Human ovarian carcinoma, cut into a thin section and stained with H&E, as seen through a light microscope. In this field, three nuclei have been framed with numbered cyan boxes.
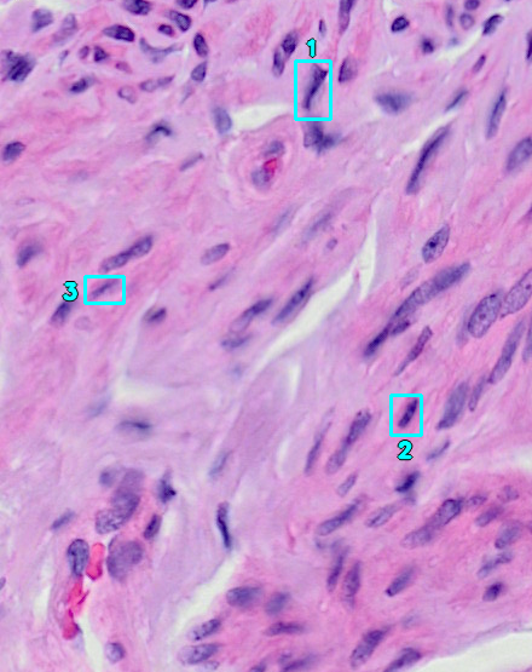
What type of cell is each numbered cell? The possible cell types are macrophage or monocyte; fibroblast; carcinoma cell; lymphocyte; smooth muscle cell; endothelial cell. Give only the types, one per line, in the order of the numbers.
fibroblast
smooth muscle cell
smooth muscle cell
